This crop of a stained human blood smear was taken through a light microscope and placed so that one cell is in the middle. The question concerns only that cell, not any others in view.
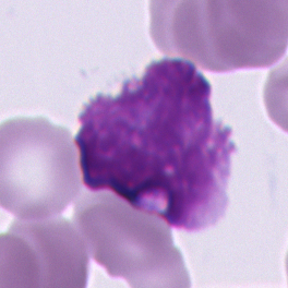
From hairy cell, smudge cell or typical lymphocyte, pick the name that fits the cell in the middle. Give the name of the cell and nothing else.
smudge cell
